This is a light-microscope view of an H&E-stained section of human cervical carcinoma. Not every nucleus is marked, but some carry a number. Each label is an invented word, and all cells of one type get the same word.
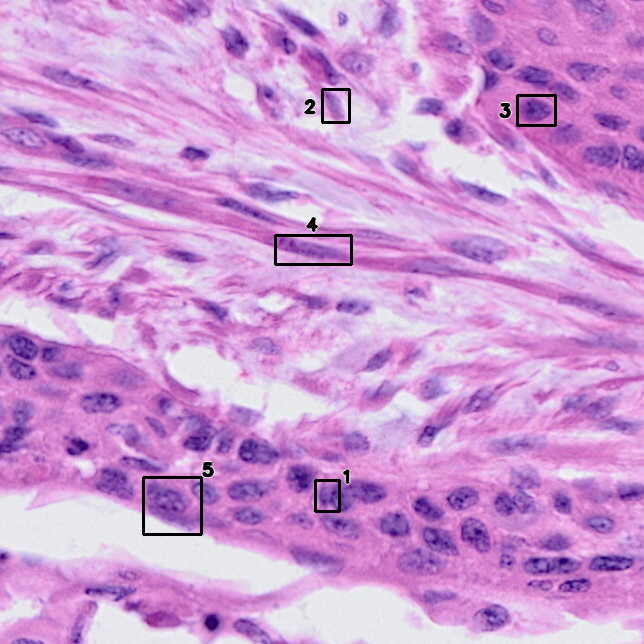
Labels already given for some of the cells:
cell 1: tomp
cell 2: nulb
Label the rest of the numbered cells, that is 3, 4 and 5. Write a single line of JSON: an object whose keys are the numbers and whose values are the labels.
{"3": "tomp", "4": "nulb", "5": "tomp"}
